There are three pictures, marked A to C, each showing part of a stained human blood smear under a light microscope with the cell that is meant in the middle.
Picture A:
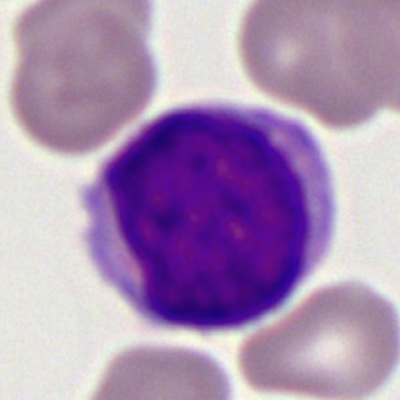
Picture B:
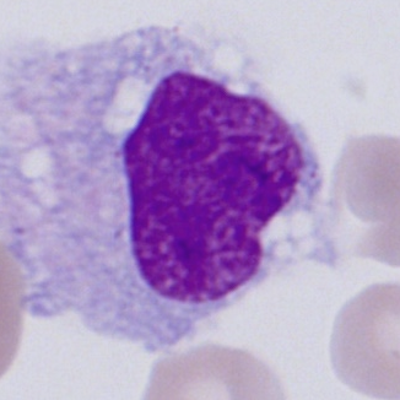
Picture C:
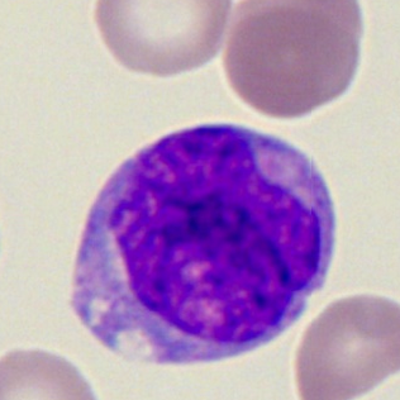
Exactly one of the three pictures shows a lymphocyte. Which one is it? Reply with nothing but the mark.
A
